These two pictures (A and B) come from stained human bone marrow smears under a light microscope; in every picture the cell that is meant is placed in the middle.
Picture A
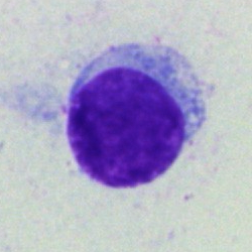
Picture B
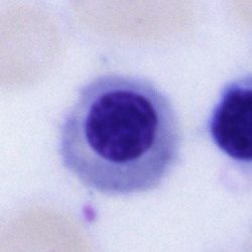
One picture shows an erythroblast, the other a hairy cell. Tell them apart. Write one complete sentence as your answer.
The cell in picture A is a hairy cell, and the one in picture B is an erythroblast.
